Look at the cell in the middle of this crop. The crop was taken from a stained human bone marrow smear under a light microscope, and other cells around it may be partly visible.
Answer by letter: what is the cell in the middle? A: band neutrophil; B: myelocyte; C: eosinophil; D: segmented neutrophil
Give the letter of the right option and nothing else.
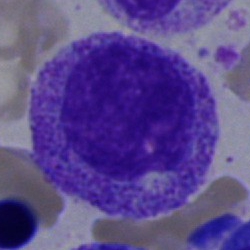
B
